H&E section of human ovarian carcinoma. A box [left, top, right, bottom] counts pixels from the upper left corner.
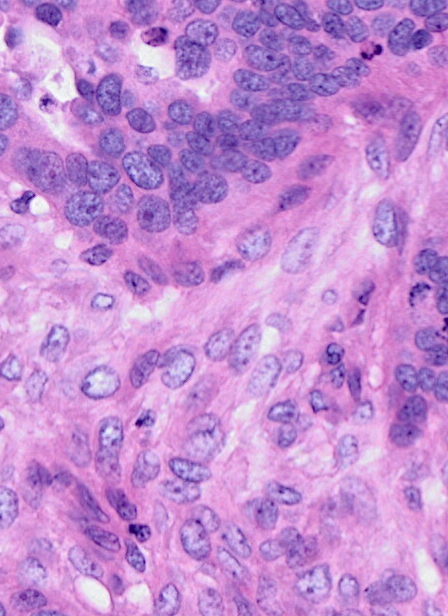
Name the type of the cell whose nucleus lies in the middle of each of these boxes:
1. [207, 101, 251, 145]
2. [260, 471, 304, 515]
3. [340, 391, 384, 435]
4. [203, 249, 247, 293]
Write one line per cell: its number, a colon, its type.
1: carcinoma cell
2: fibroblast
3: fibroblast
4: fibroblast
